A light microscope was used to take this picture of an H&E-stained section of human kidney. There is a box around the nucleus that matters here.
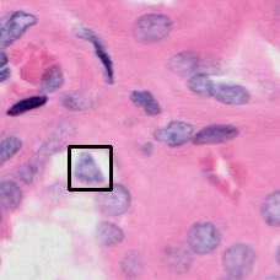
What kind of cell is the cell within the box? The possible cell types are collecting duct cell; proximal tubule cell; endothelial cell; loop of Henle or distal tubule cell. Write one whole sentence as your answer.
In this section, the cell within the box is a loop of Henle or distal tubule cell.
